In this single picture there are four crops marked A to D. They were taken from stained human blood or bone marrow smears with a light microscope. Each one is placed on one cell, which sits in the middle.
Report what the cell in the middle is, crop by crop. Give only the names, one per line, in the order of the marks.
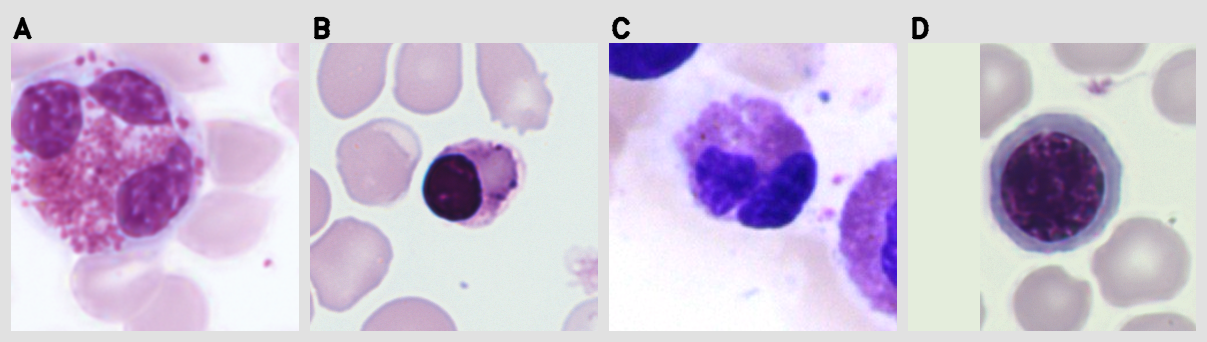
eosinophil
erythroblast
eosinophil
erythroblast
